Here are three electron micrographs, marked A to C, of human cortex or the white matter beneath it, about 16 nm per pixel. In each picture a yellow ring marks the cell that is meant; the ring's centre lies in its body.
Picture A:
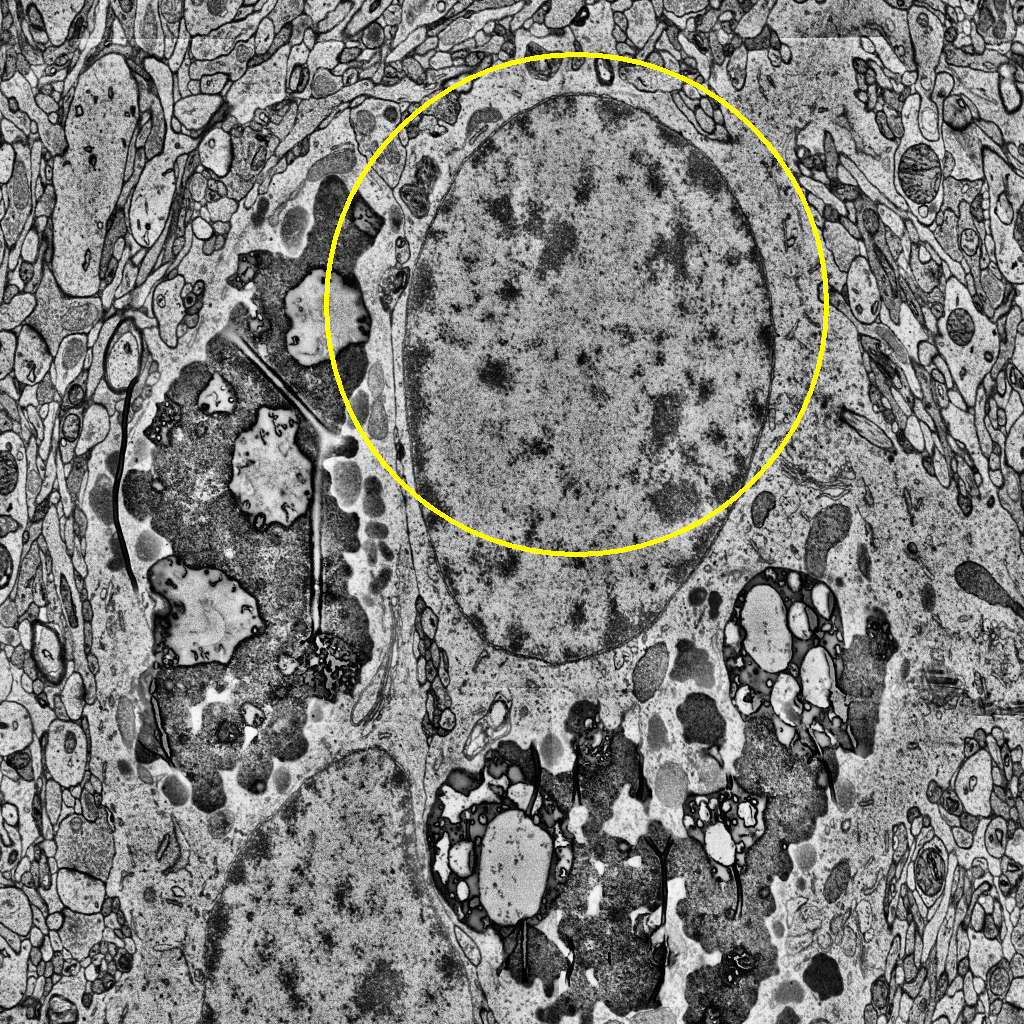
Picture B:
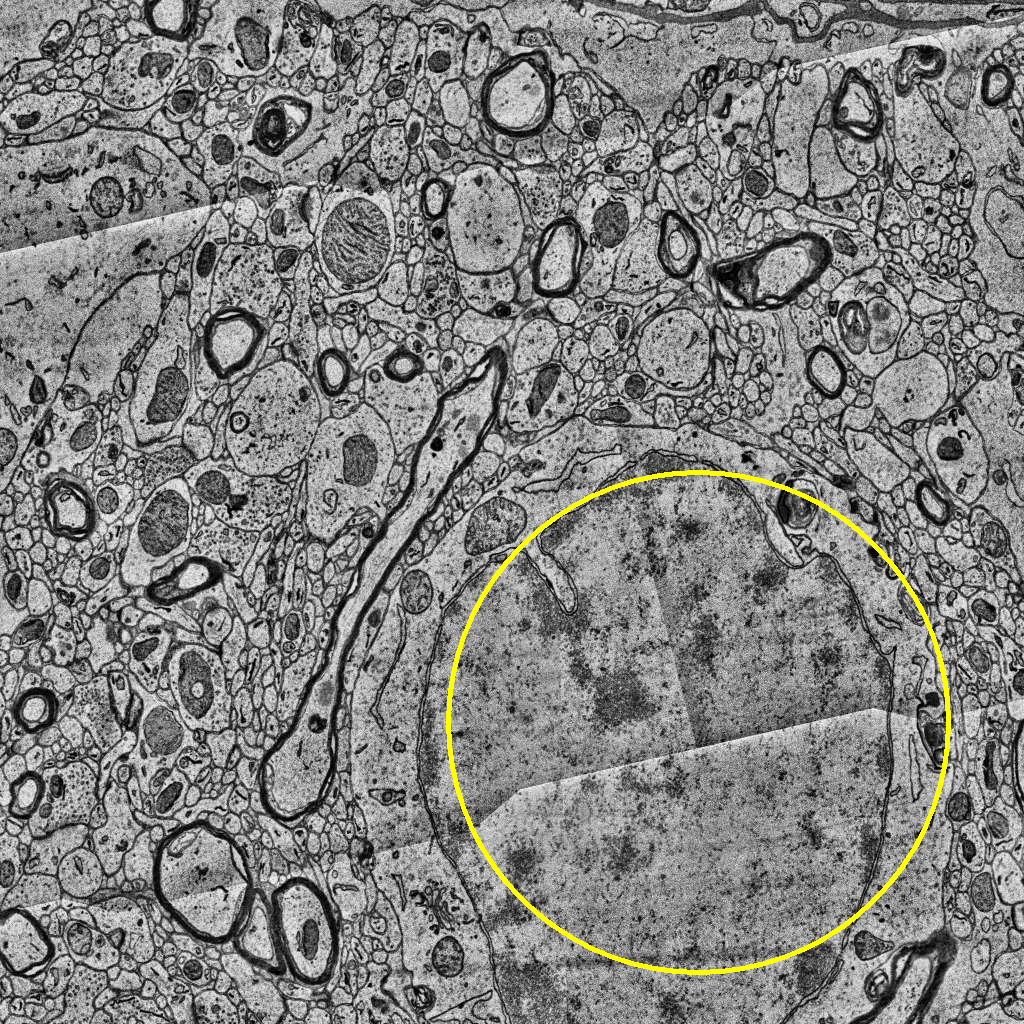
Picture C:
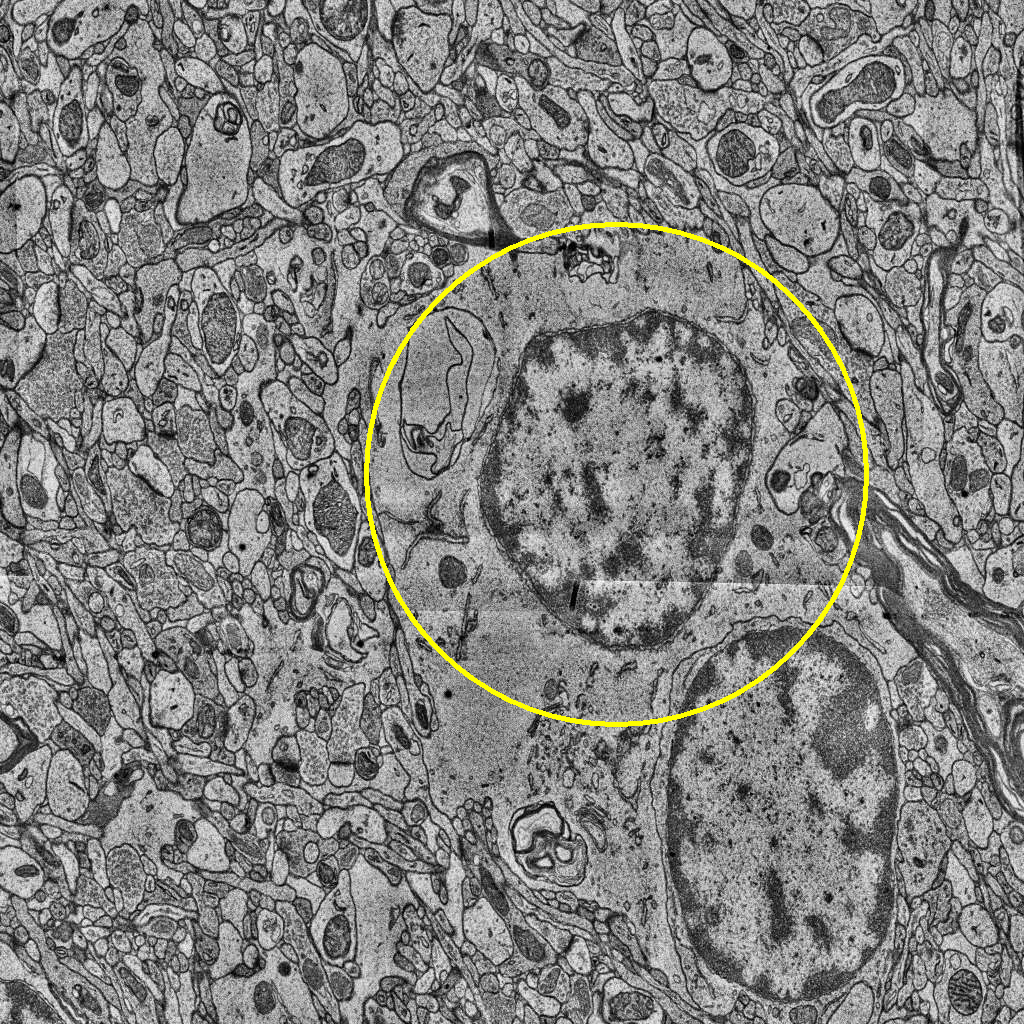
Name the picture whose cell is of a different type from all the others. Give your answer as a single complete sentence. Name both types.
The different one is picture B; it shows an interneuron, whereas all the others show astrocytes.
